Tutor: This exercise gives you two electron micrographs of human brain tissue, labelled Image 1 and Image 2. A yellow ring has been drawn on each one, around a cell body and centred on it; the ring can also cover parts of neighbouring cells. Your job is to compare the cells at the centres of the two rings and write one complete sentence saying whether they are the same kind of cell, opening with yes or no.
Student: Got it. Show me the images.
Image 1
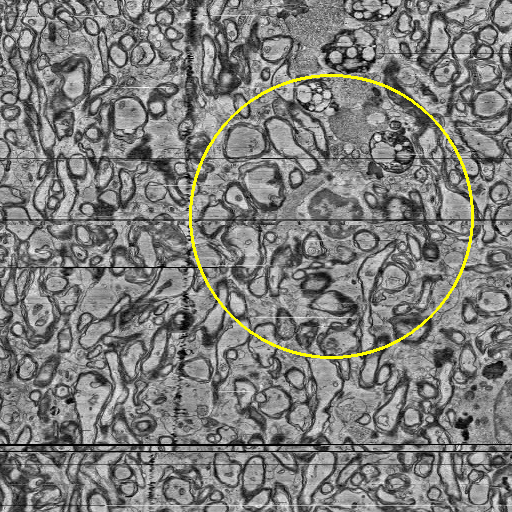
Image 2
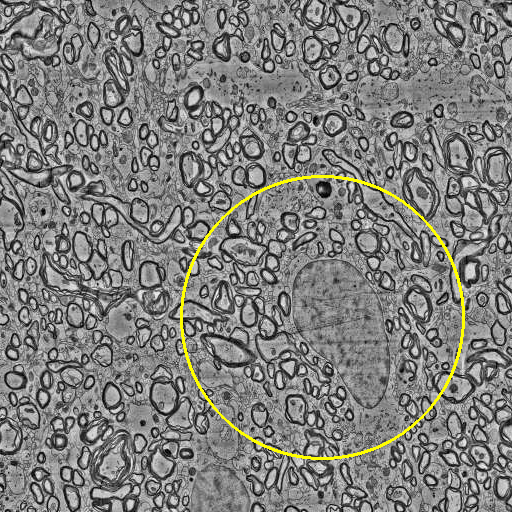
Yes, the two cells belong to the same kind.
